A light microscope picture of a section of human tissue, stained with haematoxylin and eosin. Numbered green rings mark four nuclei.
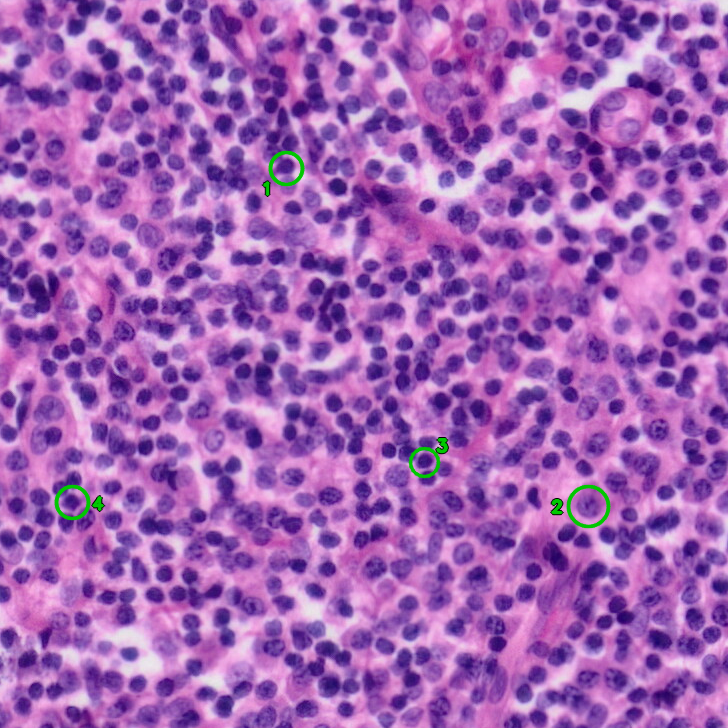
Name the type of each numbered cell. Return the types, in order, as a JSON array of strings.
["small lymphocyte", "plasma cell", "small lymphocyte", "small lymphocyte"]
